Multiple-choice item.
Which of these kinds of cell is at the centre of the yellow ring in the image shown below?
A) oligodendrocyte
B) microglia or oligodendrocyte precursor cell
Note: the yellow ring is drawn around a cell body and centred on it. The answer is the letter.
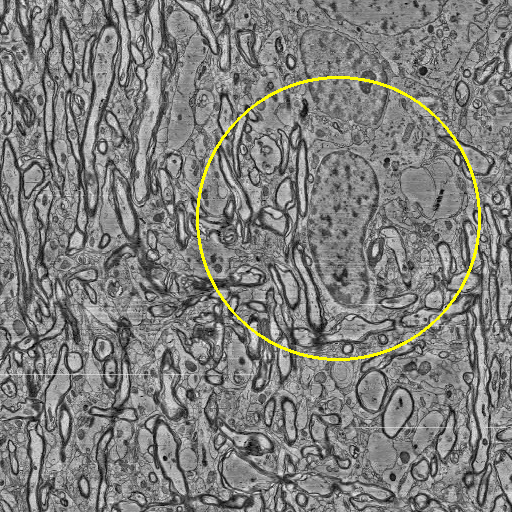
B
